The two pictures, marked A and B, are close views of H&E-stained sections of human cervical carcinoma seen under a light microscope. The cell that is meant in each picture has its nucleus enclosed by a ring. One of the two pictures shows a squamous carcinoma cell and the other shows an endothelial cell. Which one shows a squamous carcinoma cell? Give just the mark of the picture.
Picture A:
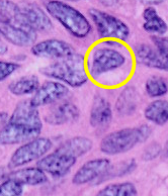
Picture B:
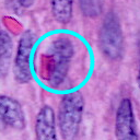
A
